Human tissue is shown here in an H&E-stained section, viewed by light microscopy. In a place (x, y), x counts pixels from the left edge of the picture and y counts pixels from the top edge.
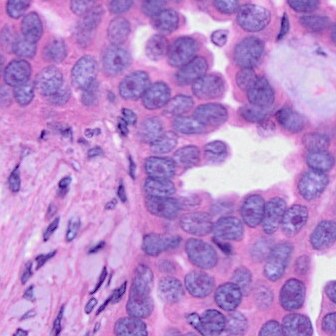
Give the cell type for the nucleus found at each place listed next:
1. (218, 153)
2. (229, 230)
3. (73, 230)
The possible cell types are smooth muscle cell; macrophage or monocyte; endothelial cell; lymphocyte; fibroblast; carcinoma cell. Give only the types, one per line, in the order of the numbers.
carcinoma cell
carcinoma cell
fibroblast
